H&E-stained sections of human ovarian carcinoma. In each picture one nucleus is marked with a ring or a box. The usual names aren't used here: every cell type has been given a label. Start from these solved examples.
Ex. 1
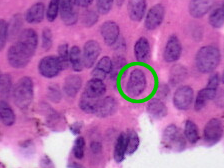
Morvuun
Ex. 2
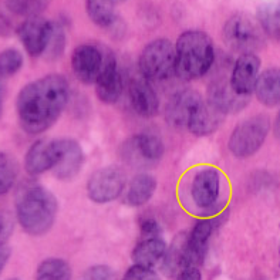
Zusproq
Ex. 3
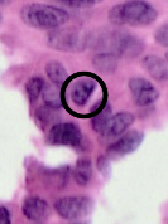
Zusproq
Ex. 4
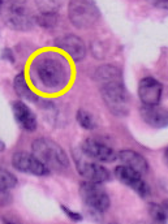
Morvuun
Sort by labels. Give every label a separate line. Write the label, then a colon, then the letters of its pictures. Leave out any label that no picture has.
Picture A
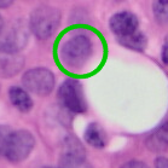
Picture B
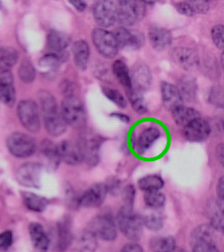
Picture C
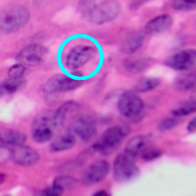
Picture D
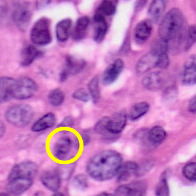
Morvuun: A, B
Zusproq: C, D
